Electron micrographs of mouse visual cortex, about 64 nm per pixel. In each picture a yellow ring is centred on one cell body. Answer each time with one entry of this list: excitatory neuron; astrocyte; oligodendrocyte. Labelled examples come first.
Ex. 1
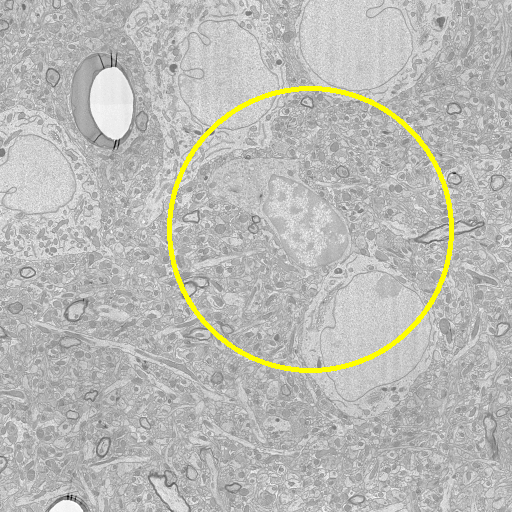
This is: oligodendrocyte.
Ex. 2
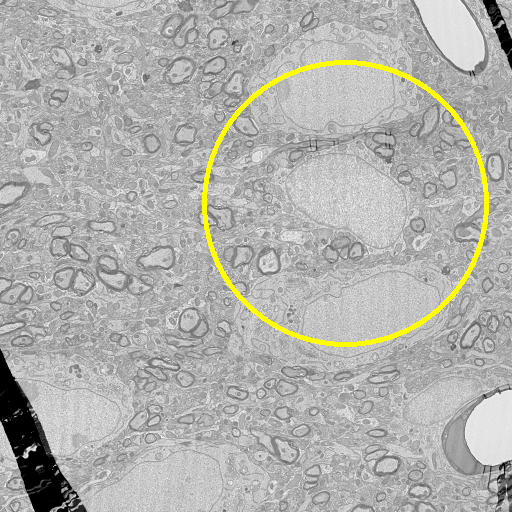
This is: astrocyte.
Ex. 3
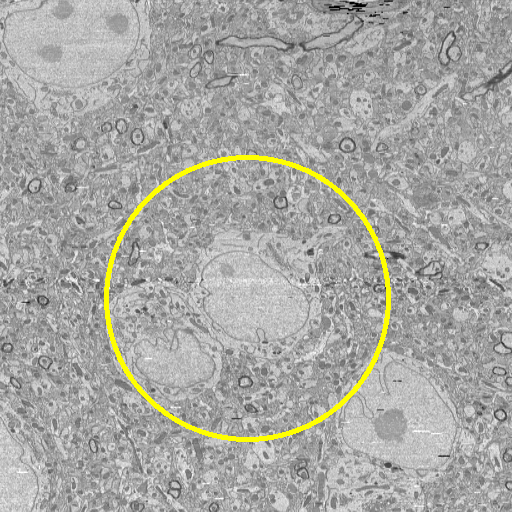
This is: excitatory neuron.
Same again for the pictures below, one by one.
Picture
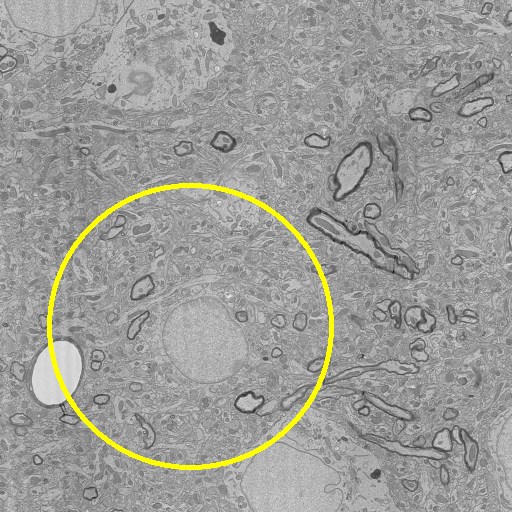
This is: astrocyte.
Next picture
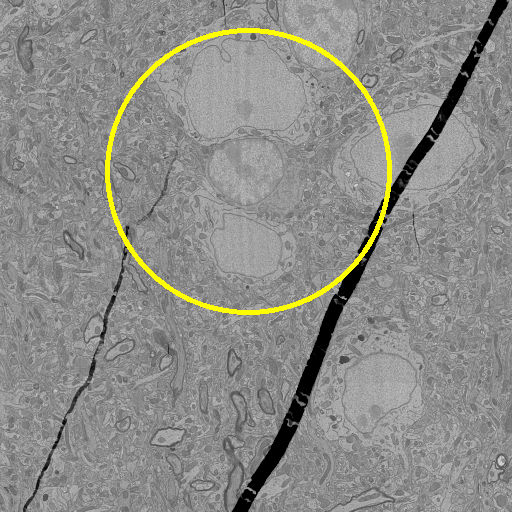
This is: oligodendrocyte.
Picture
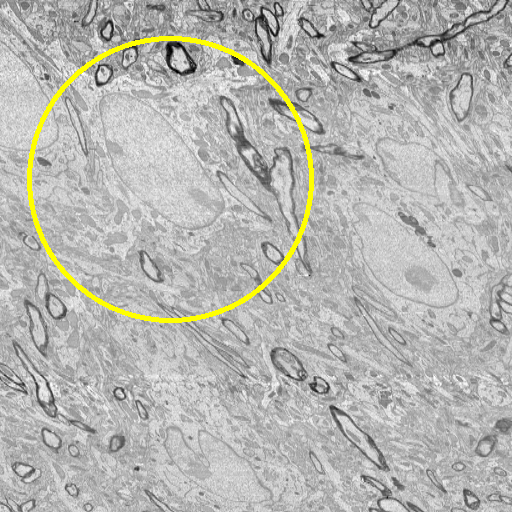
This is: astrocyte.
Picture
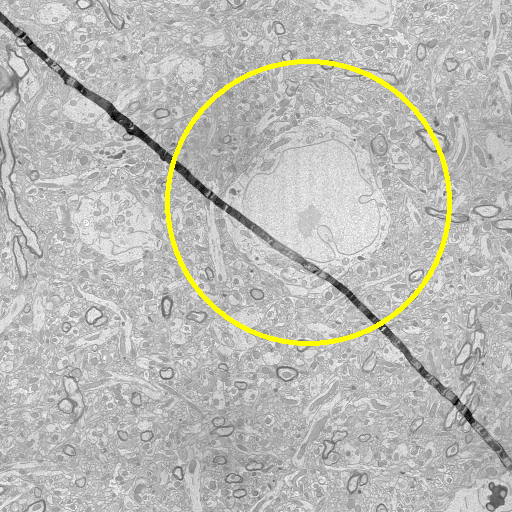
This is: excitatory neuron.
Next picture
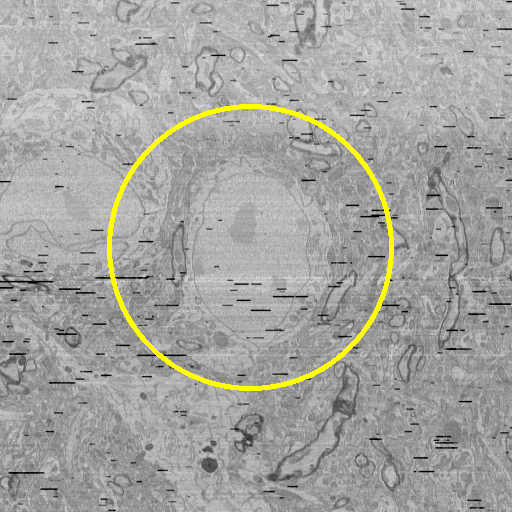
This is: excitatory neuron.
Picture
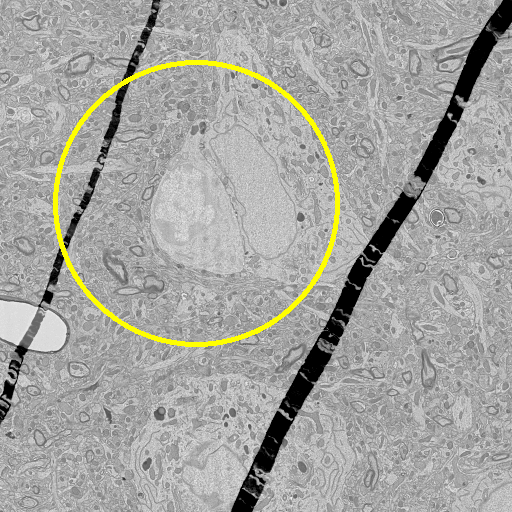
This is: oligodendrocyte.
